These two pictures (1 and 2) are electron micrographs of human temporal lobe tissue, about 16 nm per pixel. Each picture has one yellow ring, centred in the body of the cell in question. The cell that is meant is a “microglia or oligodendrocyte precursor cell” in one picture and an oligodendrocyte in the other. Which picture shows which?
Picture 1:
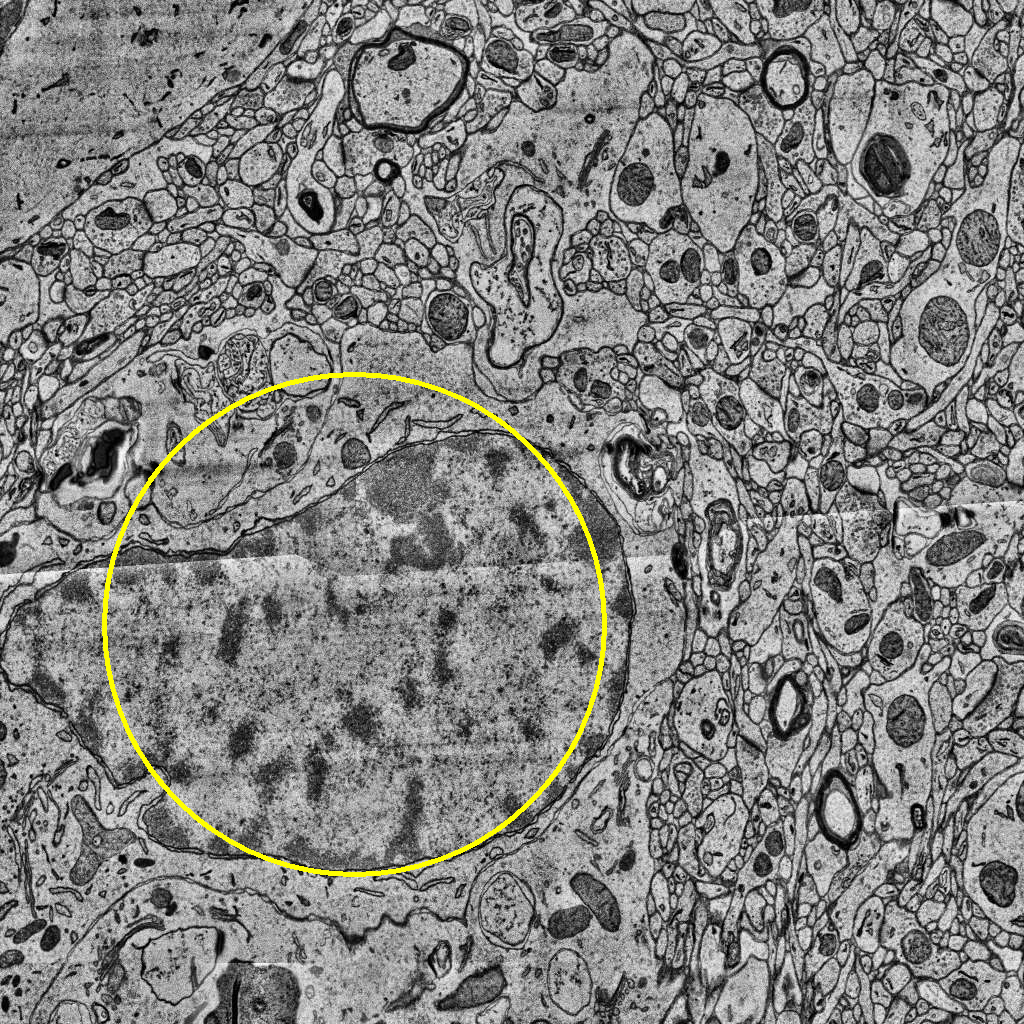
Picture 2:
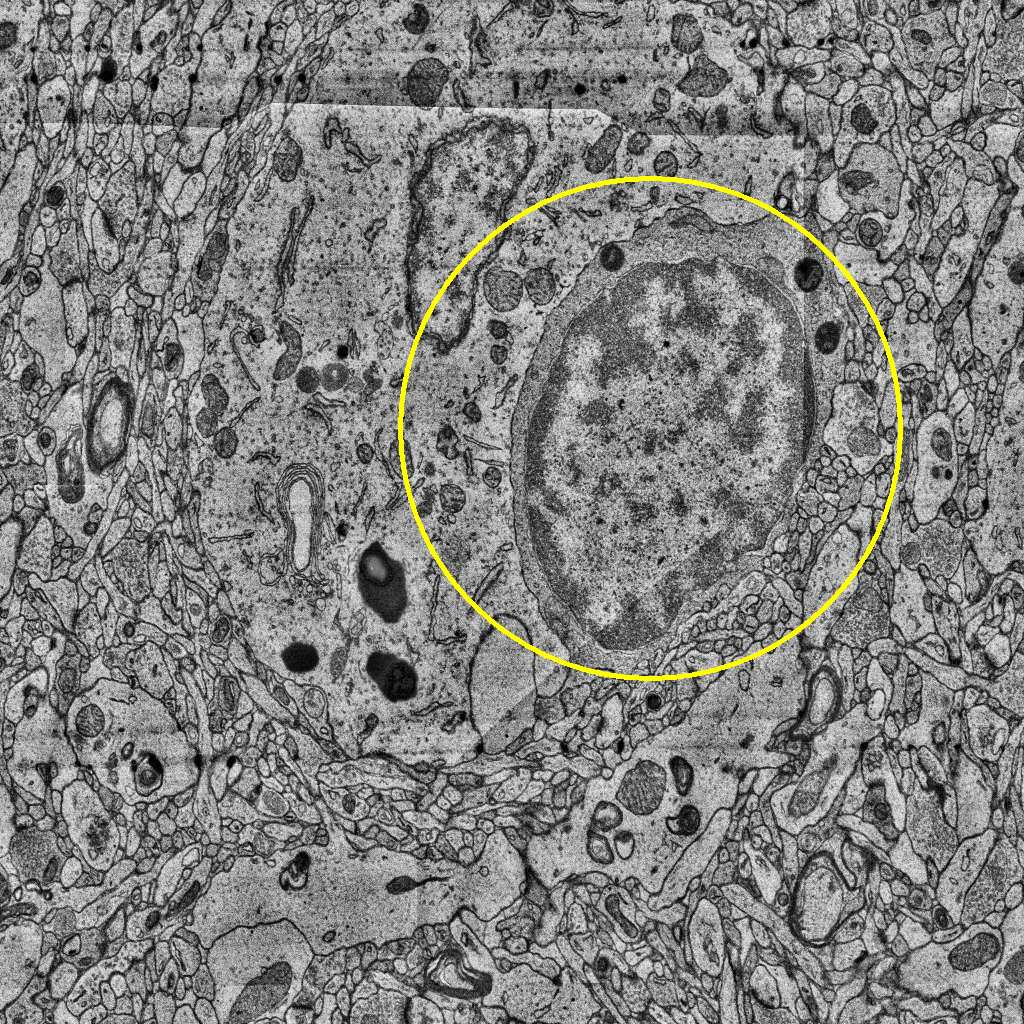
The cell in picture 1 is a “microglia or oligodendrocyte precursor cell”, and the one in picture 2 is an oligodendrocyte.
